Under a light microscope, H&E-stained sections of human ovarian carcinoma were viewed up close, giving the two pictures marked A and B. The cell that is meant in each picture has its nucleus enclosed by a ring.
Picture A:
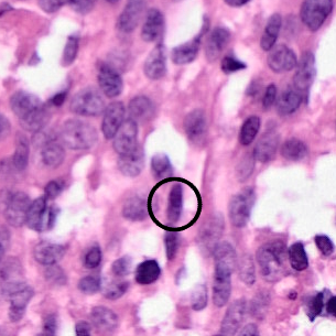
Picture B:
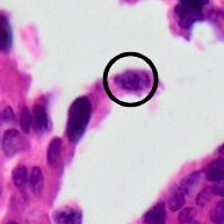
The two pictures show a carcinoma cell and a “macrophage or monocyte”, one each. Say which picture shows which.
A: carcinoma cell
B: macrophage or monocyte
